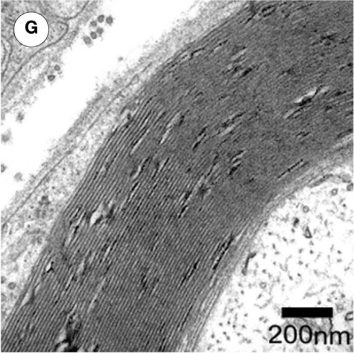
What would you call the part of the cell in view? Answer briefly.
myelin sheath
